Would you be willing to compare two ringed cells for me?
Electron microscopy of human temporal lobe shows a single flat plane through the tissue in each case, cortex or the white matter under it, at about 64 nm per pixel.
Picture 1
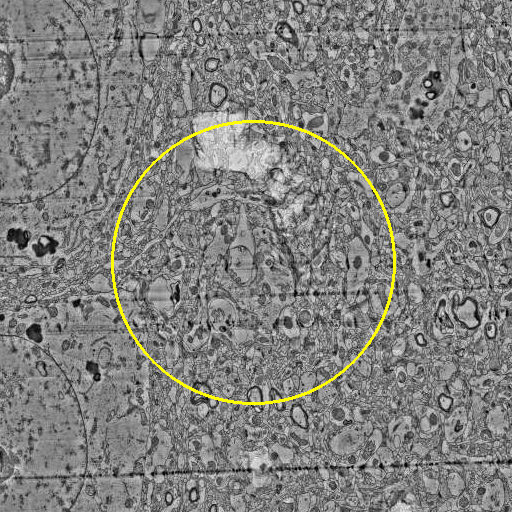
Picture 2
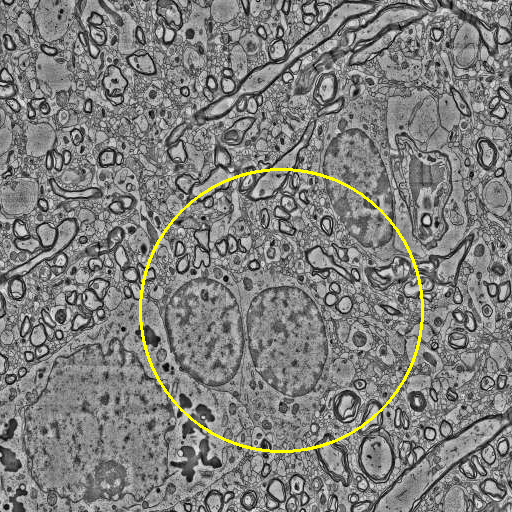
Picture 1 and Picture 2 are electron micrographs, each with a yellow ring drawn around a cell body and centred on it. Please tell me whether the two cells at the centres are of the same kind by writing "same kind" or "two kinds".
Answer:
two kinds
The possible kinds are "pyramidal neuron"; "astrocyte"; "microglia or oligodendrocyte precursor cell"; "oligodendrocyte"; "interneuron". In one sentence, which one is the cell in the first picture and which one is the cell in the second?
The cell ringed in the second picture is an oligodendrocyte, whereas the one ringed in the first is an interneuron.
